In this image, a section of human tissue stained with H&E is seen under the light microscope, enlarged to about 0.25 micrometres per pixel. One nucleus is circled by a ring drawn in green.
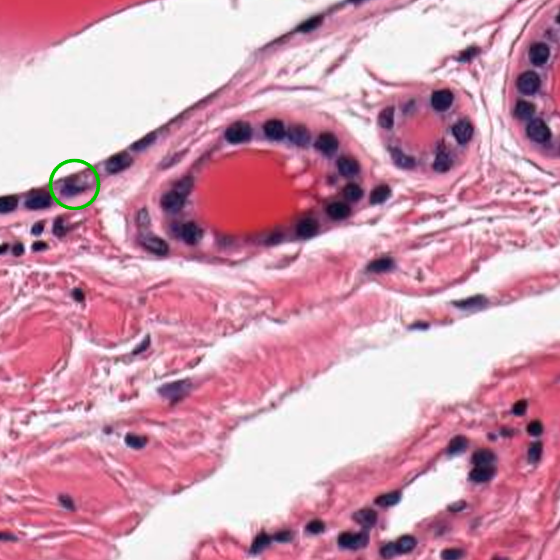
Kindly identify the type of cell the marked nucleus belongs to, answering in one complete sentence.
The mark in this picture falls on the nucleus of a thyroid follicular cell.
